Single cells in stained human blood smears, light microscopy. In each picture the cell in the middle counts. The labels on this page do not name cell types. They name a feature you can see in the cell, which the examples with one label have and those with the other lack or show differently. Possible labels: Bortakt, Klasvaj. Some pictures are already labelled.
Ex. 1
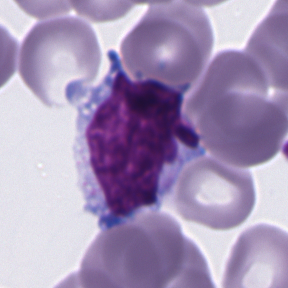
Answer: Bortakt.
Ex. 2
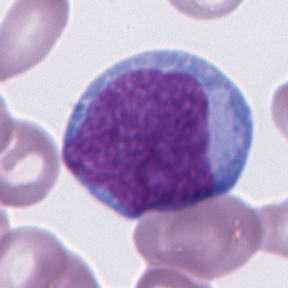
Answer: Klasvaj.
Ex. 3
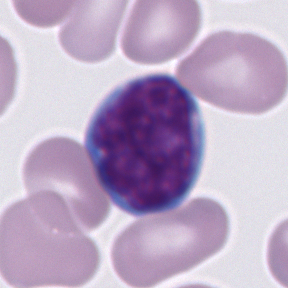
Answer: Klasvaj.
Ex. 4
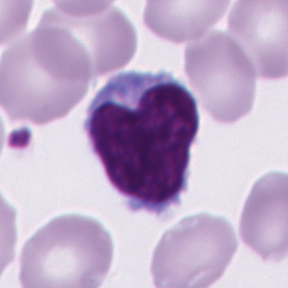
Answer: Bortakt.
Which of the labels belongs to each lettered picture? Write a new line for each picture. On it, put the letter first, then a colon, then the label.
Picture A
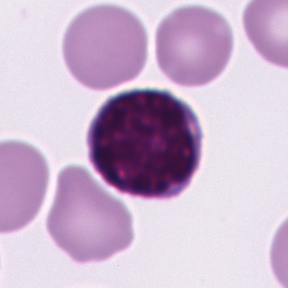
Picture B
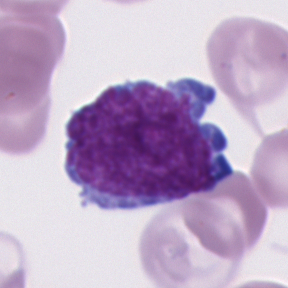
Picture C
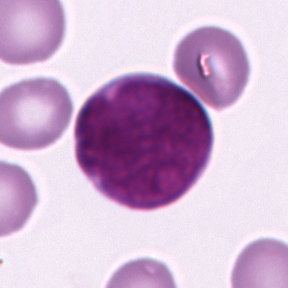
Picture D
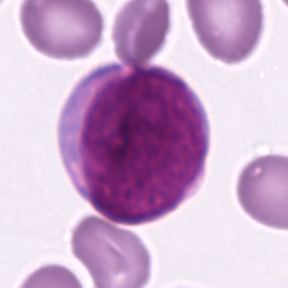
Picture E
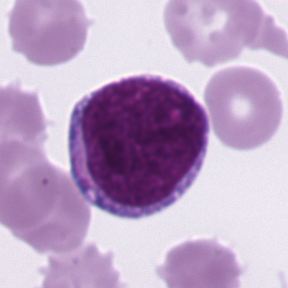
A: Klasvaj.
B: Bortakt.
C: Klasvaj.
D: Klasvaj.
E: Klasvaj.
